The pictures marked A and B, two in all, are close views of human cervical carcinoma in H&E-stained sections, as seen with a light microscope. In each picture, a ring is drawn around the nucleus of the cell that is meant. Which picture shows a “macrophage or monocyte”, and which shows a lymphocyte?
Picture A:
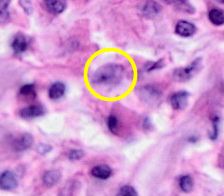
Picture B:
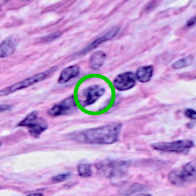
A: macrophage or monocyte
B: lymphocyte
